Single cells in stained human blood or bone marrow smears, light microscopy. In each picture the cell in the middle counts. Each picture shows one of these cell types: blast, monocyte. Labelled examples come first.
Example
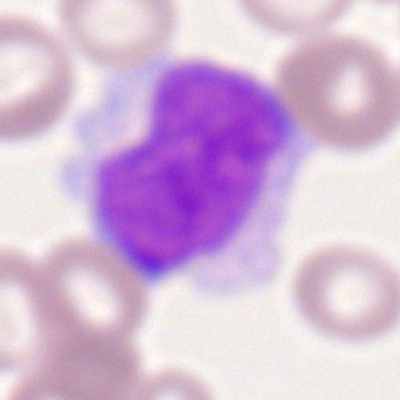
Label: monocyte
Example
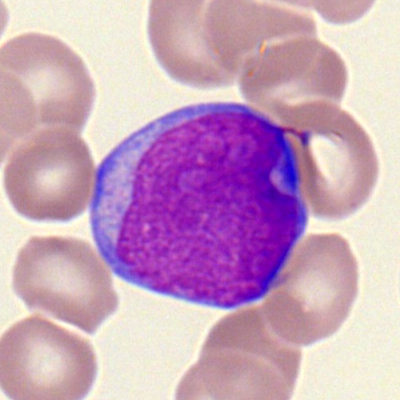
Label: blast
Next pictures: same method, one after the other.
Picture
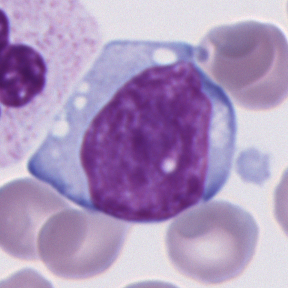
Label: blast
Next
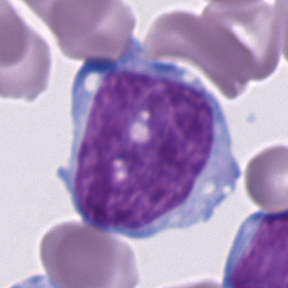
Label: blast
